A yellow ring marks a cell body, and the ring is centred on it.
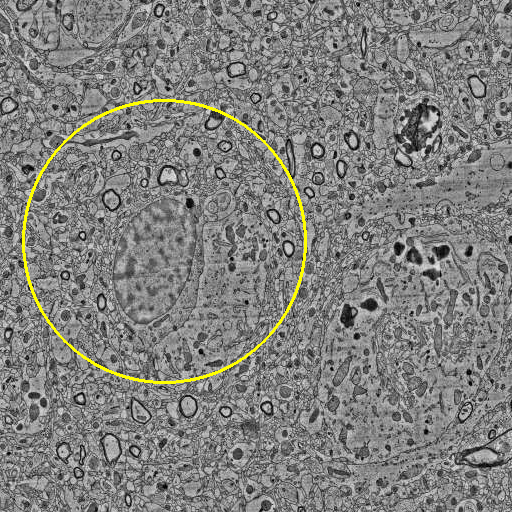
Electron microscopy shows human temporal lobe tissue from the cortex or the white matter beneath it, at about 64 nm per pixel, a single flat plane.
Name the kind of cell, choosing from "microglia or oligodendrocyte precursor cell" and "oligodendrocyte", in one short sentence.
The marked cell body belongs to an oligodendrocyte.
